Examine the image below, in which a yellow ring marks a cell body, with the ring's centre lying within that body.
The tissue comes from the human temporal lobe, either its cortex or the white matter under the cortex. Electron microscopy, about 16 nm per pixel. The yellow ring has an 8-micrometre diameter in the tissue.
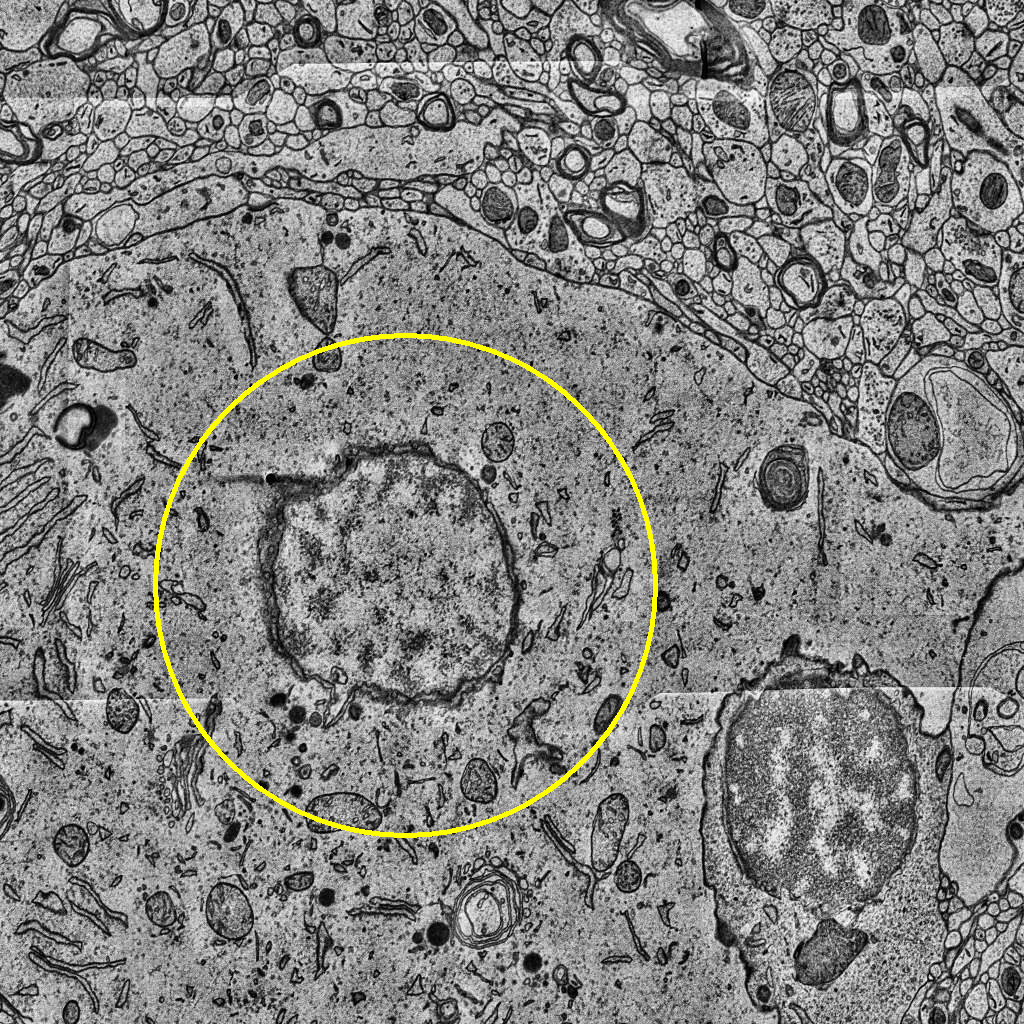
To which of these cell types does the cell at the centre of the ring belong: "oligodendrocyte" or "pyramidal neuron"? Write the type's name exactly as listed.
pyramidal neuron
